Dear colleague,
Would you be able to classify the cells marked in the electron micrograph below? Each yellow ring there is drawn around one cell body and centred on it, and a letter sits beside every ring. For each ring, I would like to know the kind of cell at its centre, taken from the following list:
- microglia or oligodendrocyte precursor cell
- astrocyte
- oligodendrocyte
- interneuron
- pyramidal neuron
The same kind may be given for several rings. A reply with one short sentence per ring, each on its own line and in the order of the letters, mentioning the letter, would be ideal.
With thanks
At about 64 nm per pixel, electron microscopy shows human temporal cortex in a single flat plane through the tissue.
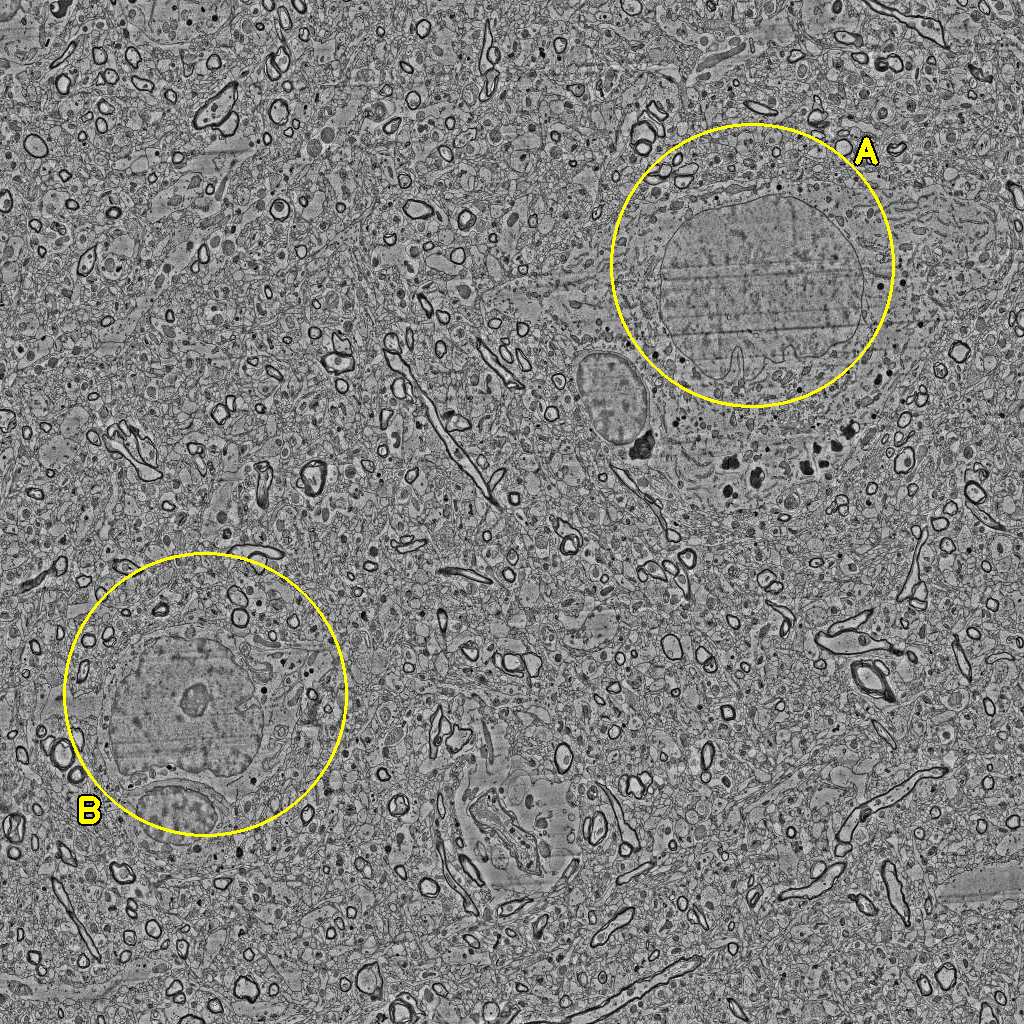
Ring A contains a pyramidal neuron at its centre.
Ring B contains an interneuron at its centre.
